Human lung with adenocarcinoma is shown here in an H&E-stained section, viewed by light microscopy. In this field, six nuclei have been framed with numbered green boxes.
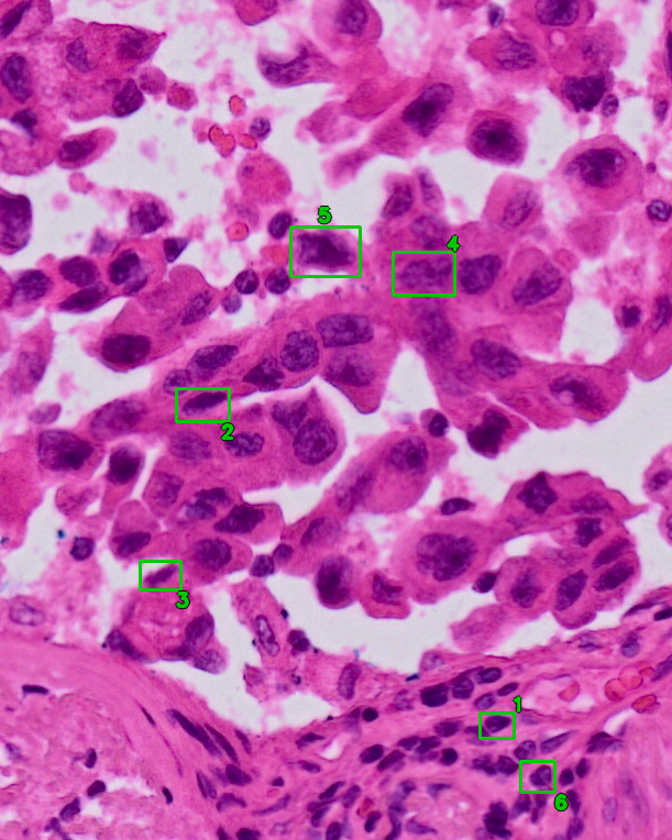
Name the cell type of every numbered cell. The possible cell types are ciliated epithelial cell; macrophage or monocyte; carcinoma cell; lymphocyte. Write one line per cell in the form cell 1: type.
cell 1: lymphocyte
cell 2: carcinoma cell
cell 3: carcinoma cell
cell 4: carcinoma cell
cell 5: carcinoma cell
cell 6: lymphocyte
